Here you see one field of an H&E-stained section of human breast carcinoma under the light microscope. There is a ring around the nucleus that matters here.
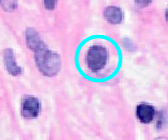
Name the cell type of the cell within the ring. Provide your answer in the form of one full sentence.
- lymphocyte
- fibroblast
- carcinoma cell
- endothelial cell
In this section, the cell within the ring is a lymphocyte.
